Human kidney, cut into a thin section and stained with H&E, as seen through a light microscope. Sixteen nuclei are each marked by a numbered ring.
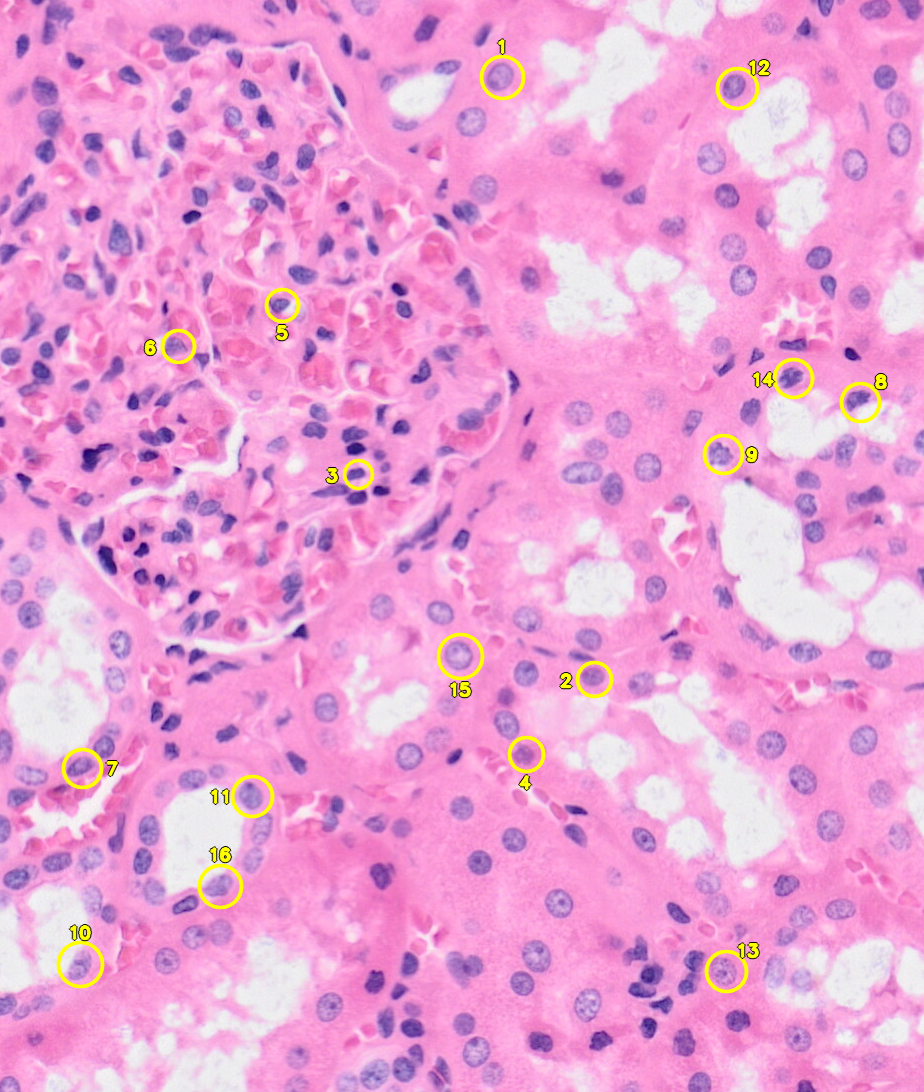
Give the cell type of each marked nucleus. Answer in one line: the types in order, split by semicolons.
proximal tubule cell; proximal tubule cell; endothelial cell; proximal tubule cell; endothelial cell; endothelial cell; collecting duct cell; loop of Henle or distal tubule cell; loop of Henle or distal tubule cell; collecting duct cell; collecting duct cell; proximal tubule cell; proximal tubule cell; loop of Henle or distal tubule cell; proximal tubule cell; collecting duct cell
